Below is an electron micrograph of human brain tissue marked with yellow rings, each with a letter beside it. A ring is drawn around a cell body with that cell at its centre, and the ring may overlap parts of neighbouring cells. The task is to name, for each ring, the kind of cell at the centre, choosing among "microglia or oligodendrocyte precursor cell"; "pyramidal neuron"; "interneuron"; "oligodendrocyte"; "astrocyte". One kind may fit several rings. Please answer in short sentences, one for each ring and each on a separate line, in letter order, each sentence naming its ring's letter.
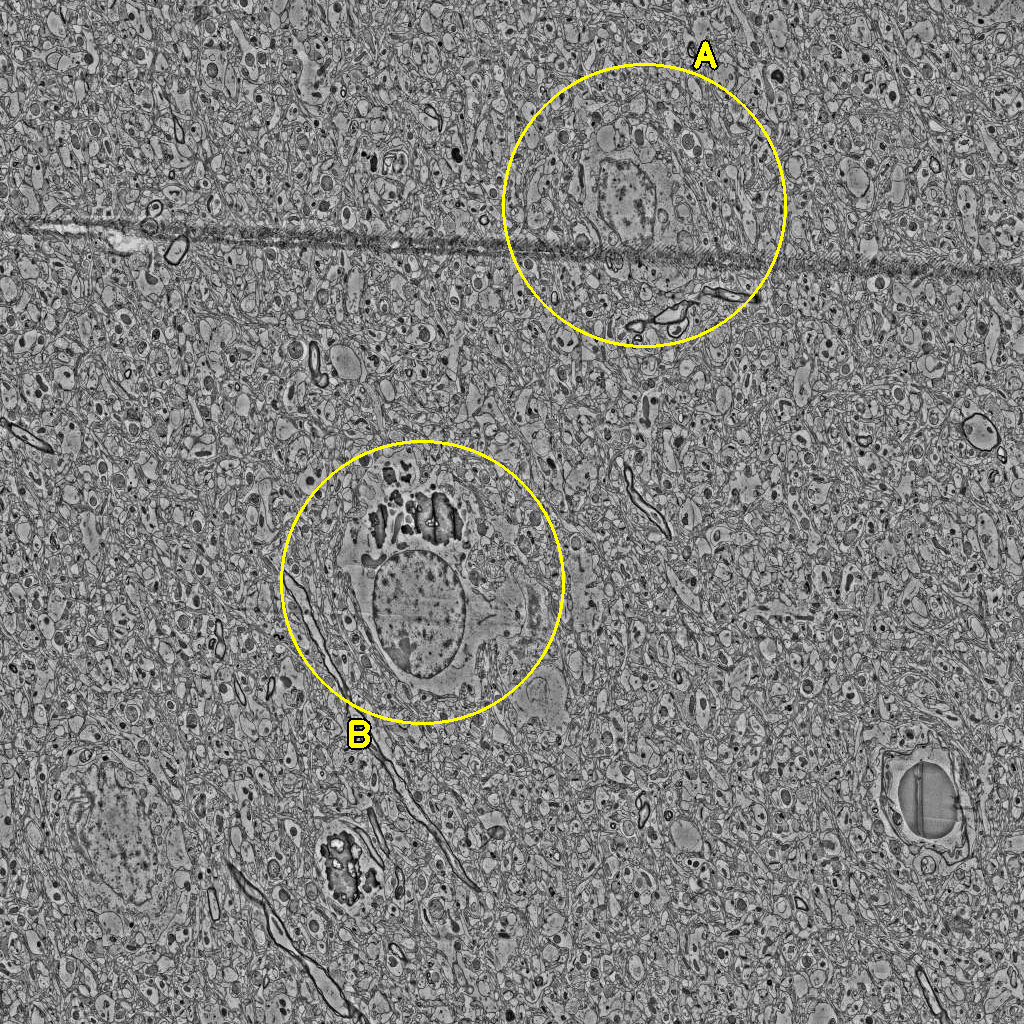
The ring with letter A is centred on an interneuron.
The ring with letter B is centred on an astrocyte.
